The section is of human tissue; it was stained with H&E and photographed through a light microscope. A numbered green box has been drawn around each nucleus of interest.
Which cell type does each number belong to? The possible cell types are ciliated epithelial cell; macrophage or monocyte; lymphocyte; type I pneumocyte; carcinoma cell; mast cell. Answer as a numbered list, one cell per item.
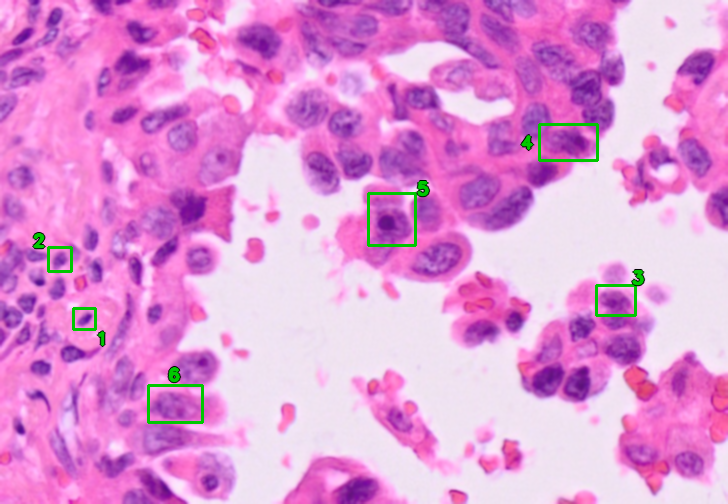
1. lymphocyte
2. lymphocyte
3. carcinoma cell
4. carcinoma cell
5. carcinoma cell
6. carcinoma cell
